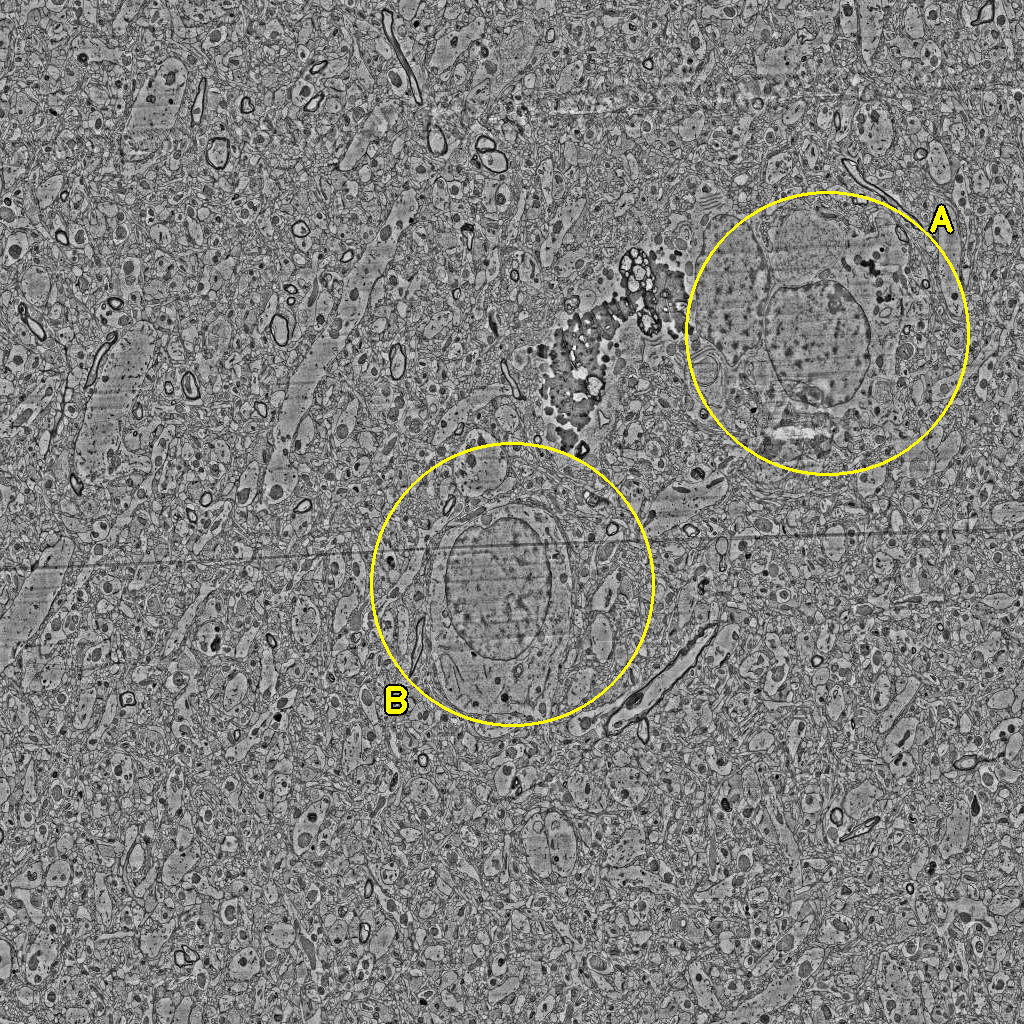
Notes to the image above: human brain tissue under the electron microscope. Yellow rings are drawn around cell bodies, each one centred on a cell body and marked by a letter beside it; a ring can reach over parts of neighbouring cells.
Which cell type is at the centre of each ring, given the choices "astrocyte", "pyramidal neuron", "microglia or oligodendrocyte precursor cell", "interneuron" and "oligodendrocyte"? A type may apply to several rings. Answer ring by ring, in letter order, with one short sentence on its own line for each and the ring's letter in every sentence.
Inside ring A, at its centre, is an astrocyte.
Inside ring B, at its centre, is a pyramidal neuron.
